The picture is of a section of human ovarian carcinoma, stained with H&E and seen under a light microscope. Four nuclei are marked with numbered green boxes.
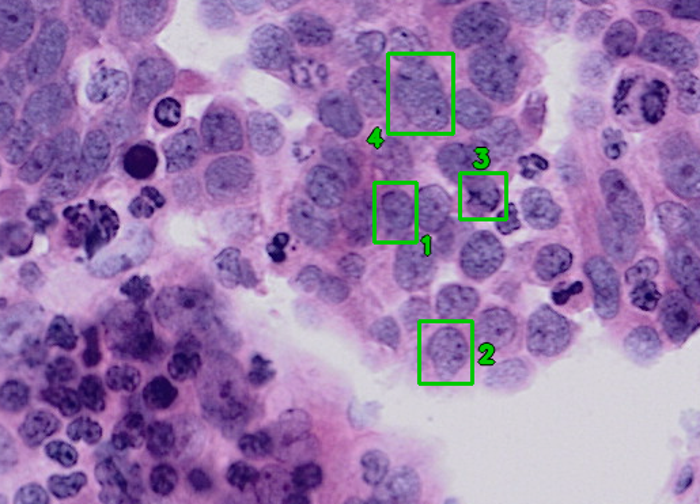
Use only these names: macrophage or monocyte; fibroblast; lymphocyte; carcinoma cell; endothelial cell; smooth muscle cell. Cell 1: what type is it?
carcinoma cell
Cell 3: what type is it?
macrophage or monocyte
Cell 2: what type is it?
carcinoma cell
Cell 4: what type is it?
carcinoma cell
